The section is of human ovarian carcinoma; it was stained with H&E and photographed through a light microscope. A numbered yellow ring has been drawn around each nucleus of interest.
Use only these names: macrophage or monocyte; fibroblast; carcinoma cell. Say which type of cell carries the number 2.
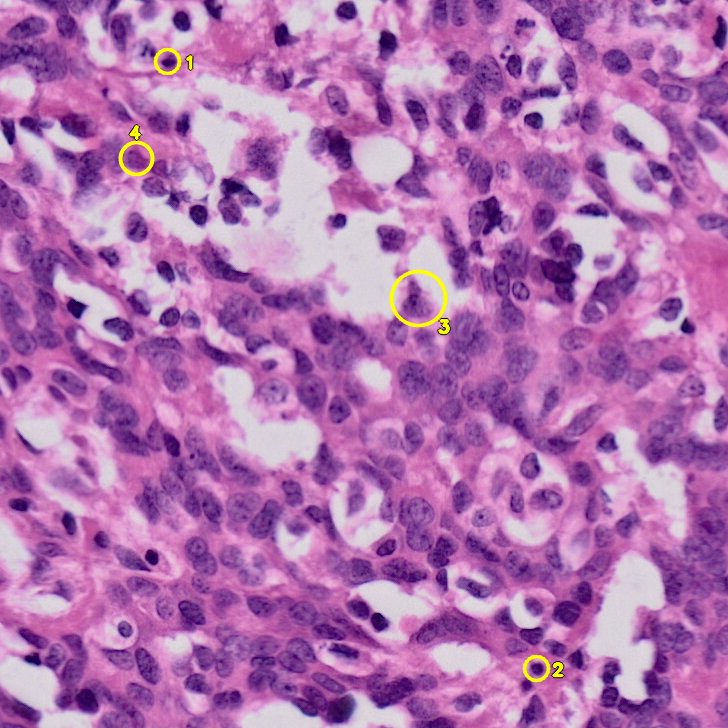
macrophage or monocyte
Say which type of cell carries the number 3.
macrophage or monocyte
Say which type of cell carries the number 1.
macrophage or monocyte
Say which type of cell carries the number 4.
carcinoma cell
